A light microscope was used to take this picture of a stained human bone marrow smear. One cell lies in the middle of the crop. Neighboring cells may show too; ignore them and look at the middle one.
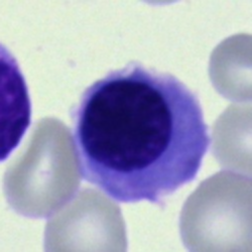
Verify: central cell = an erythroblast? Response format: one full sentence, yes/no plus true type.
Yes, centred in the crop is an erythroblast.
